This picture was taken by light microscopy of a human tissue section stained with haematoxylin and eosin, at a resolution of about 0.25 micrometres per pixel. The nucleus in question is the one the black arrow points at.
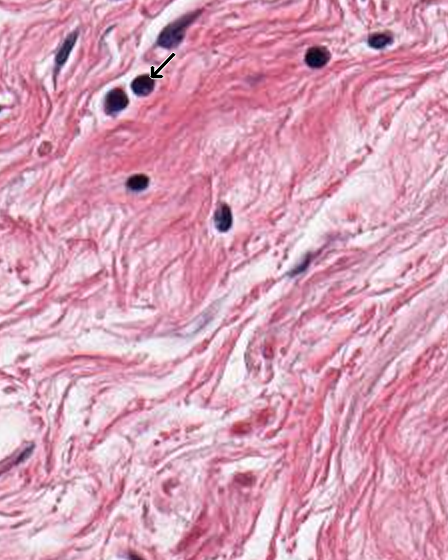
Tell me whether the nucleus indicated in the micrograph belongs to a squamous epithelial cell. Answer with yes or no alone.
no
